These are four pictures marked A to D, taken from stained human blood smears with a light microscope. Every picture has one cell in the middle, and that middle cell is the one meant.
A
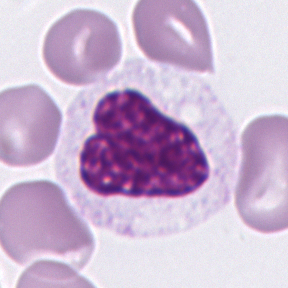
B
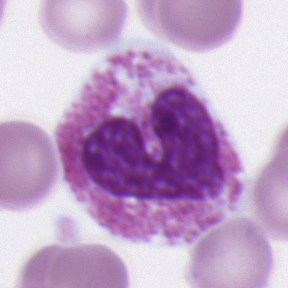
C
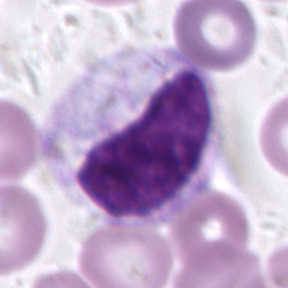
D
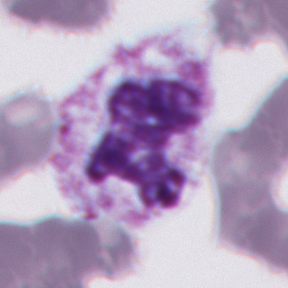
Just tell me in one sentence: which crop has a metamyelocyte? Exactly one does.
In the set of crops, crop C is the one that contains a metamyelocyte.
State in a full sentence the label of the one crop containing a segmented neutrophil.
The one showing a segmented neutrophil is crop D.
